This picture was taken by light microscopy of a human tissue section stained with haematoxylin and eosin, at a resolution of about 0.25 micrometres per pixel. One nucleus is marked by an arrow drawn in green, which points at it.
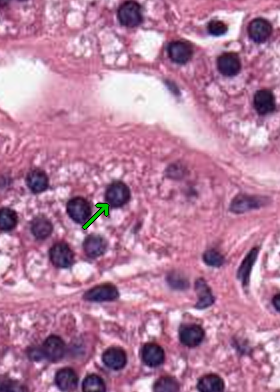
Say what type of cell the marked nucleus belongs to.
adrenal cortical cell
